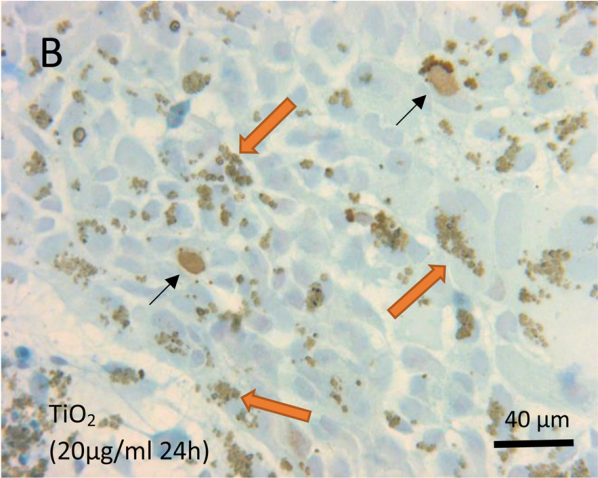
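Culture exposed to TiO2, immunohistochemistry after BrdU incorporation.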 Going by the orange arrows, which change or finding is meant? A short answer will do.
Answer: Accumulation of nanoparticles aggregates inside cytoplasmic vacuoles.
